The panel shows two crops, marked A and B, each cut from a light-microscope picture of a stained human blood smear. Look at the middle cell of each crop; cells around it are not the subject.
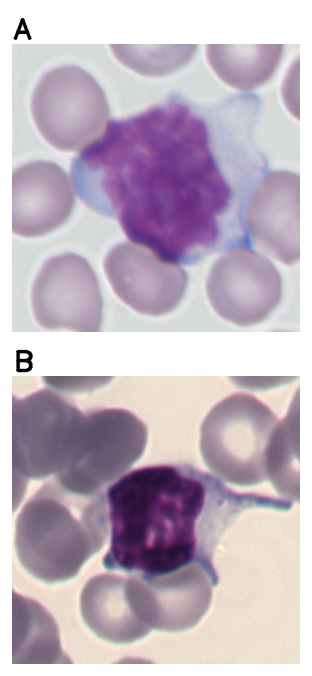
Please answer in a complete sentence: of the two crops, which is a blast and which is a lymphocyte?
Crop A is a blast, whereas a lymphocyte is found in crop B.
